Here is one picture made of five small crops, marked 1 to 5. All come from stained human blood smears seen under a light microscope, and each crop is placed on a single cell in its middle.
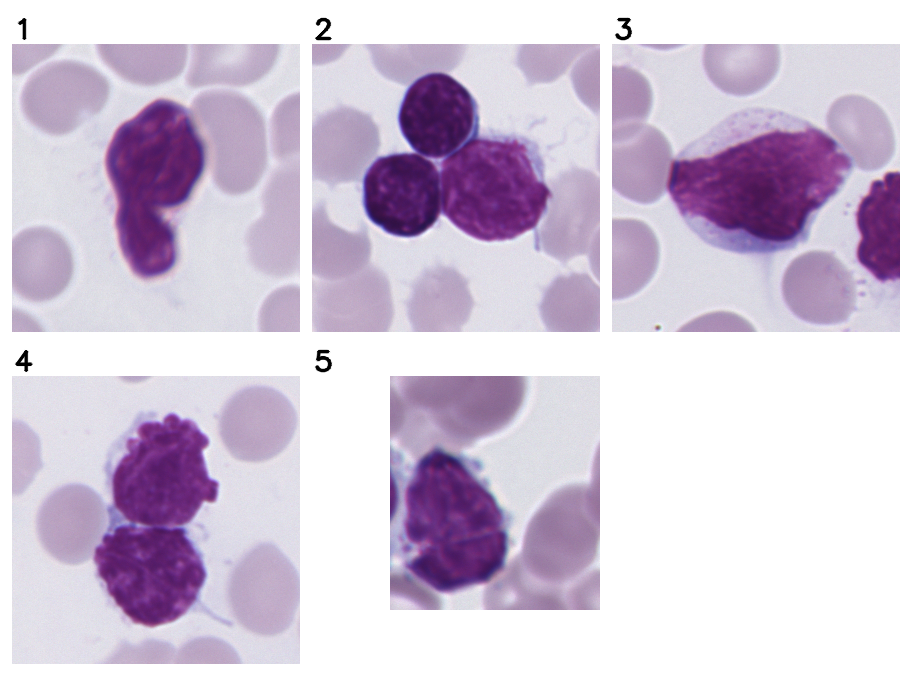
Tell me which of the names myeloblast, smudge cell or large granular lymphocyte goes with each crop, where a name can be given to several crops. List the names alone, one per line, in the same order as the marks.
smudge cell
myeloblast
large granular lymphocyte
myeloblast
large granular lymphocyte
